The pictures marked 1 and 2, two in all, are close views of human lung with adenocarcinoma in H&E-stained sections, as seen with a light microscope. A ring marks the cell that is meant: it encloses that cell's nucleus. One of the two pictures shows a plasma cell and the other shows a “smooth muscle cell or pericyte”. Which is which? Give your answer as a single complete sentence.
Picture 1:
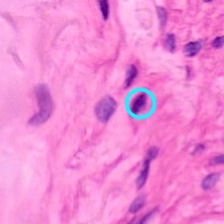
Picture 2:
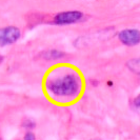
In picture 1 the cell is a “smooth muscle cell or pericyte”; in picture 2, a plasma cell.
